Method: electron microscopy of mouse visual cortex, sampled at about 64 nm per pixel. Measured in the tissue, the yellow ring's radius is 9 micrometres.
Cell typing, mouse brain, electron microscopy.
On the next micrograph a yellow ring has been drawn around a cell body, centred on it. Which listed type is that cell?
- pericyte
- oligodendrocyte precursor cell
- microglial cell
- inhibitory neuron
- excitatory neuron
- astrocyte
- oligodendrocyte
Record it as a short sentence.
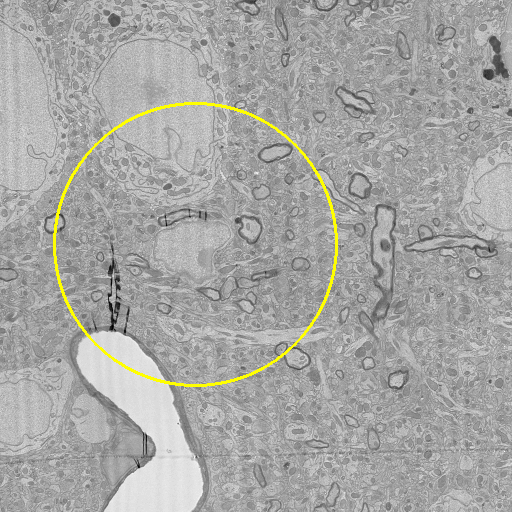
The cell body in the ring's centre belongs to an oligodendrocyte precursor cell.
